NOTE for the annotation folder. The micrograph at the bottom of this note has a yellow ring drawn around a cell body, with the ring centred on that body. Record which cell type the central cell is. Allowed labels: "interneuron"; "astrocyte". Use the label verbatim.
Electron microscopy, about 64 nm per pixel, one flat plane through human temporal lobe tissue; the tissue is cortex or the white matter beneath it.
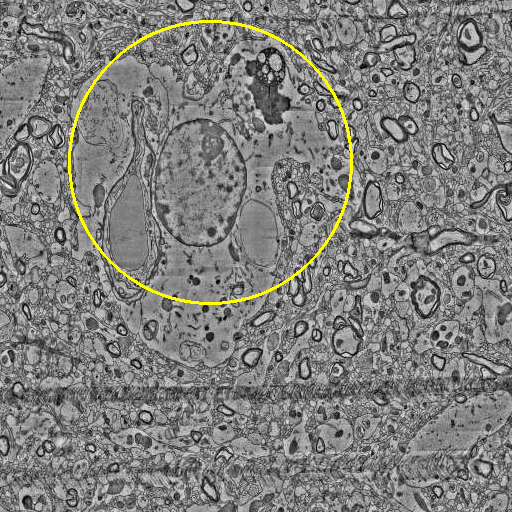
astrocyte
